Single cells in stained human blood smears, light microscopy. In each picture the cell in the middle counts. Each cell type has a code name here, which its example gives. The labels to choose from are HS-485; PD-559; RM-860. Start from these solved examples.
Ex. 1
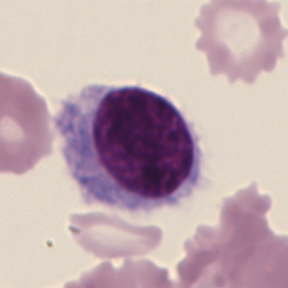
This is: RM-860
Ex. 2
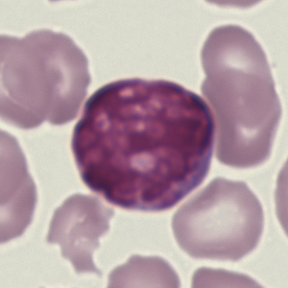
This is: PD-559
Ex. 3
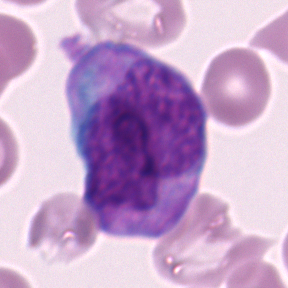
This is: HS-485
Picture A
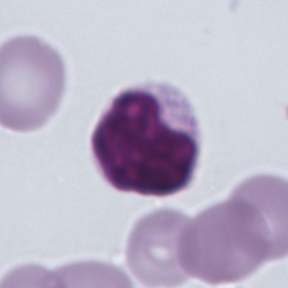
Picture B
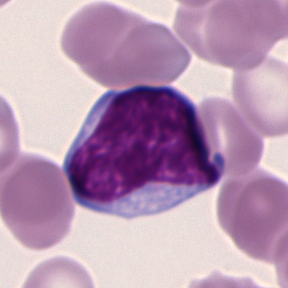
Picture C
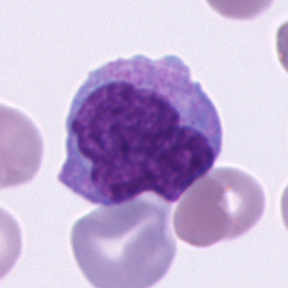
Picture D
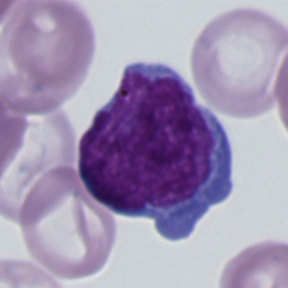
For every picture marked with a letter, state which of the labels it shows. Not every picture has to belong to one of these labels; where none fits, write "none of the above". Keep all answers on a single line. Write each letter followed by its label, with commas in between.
A none of the above, B none of the above, C HS-485, D PD-559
